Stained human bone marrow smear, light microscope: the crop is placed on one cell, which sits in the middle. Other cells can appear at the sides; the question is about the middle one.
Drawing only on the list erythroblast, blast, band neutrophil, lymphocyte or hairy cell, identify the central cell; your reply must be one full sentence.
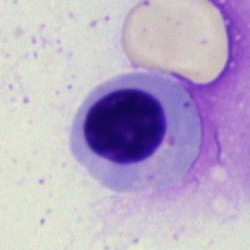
Answering briefly, the cell in the middle is an erythroblast.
